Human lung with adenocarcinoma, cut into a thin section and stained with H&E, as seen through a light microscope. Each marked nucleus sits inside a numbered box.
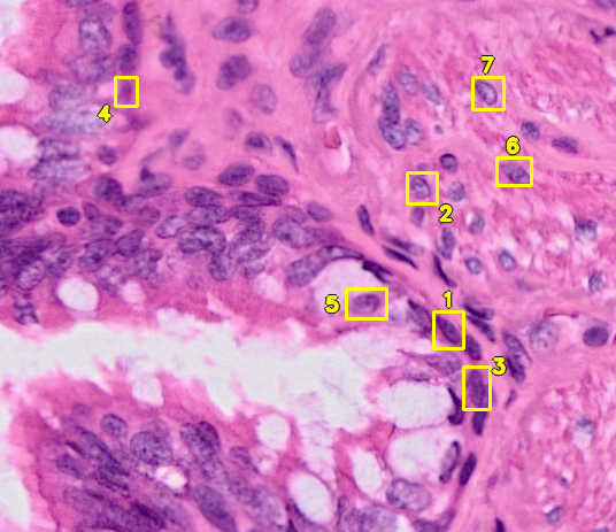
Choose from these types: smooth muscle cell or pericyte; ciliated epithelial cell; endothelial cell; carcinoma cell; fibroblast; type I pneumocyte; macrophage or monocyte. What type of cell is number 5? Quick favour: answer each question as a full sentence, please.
Cell 5 in the field of view is a ciliated epithelial cell.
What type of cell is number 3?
Here the cell numbered 3 is a ciliated epithelial cell.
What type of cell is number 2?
The cell indicated with the number 2 is classed as a smooth muscle cell or pericyte.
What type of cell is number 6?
The cell identified by the number 6 is a smooth muscle cell or pericyte.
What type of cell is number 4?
Denoted by the label 4 in the section is a ciliated epithelial cell.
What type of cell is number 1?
The marked cell with the number 1 is recognised as a ciliated epithelial cell.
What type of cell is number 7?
The cell that goes by number 7 is a smooth muscle cell or pericyte.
